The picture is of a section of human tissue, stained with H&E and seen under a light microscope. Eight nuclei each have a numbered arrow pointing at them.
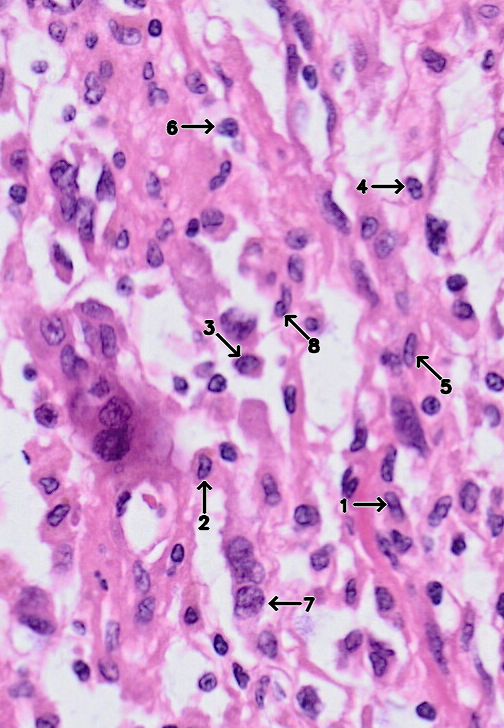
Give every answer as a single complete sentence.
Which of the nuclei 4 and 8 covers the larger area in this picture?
Nucleus 4 is the larger one, covering about 2 times the area of nucleus 8.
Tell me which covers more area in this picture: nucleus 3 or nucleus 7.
The larger nucleus is 7, at roughly 2 times the area of 3.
